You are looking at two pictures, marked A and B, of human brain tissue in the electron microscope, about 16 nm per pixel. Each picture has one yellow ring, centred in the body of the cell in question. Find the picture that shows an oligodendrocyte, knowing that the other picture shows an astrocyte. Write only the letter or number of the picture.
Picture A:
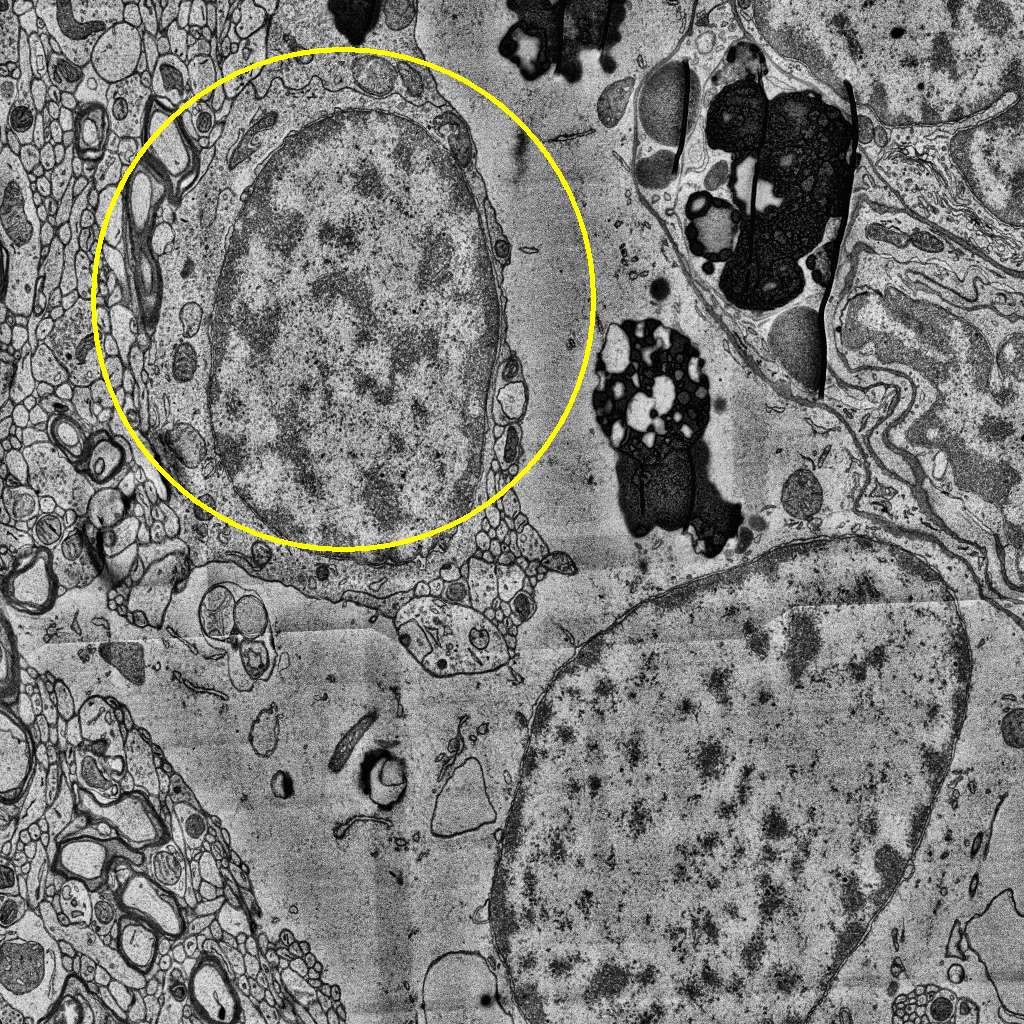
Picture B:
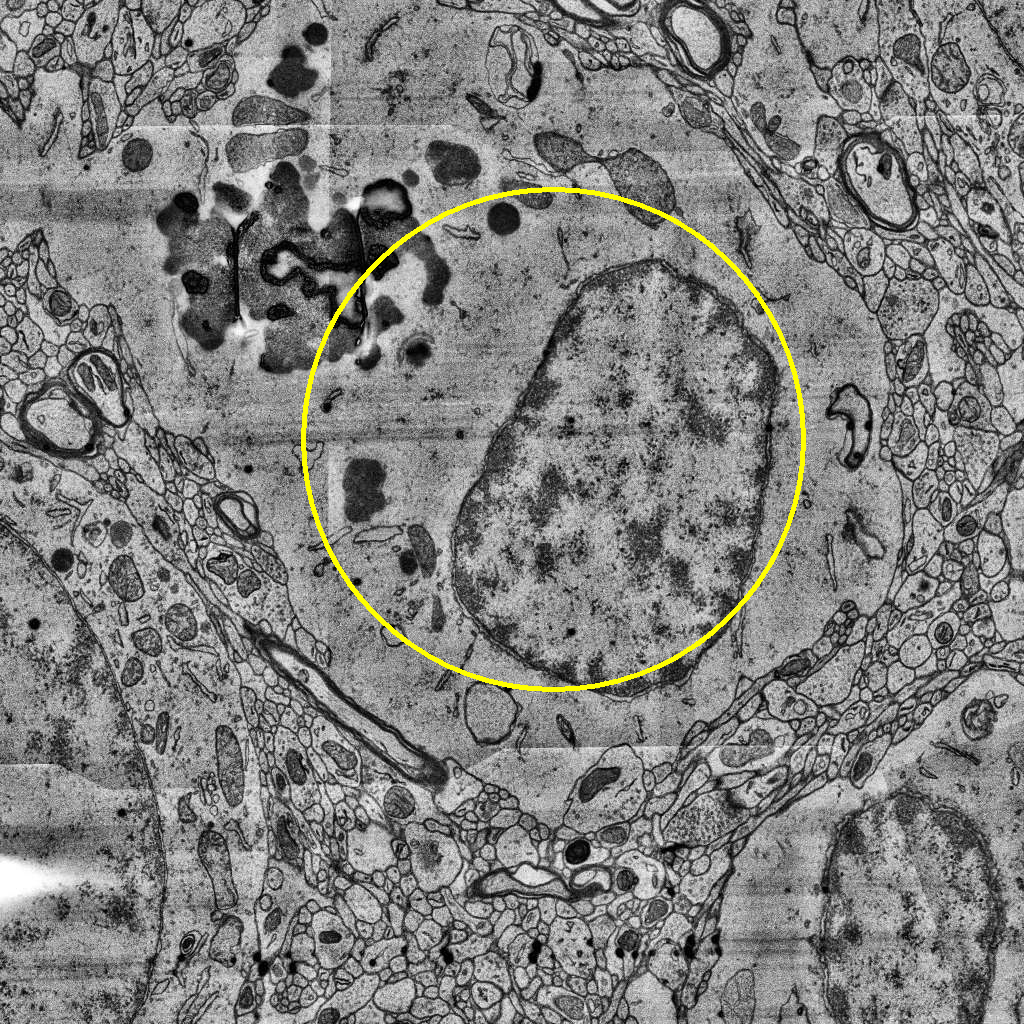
A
